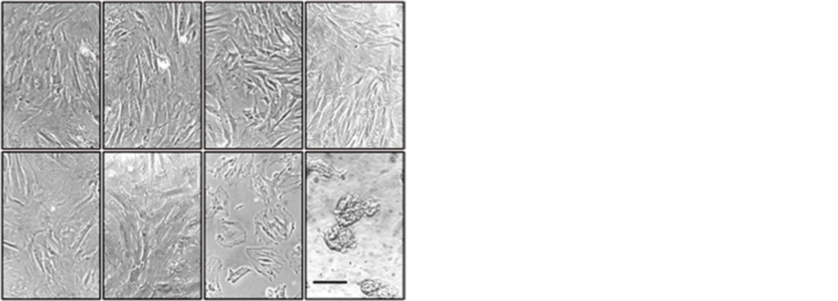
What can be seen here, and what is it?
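In the lower row the layer thins out, the cells become fewer and more irregular, and in the last image they have gathered into rounded, compact aggregates. These aggregates stand out against an almost empty background, unlike the even sheet of spread cells seen elsewhere.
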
